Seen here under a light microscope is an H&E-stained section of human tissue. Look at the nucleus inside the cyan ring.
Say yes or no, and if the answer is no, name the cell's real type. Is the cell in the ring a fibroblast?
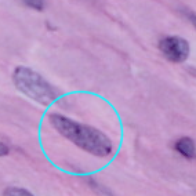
Yes.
